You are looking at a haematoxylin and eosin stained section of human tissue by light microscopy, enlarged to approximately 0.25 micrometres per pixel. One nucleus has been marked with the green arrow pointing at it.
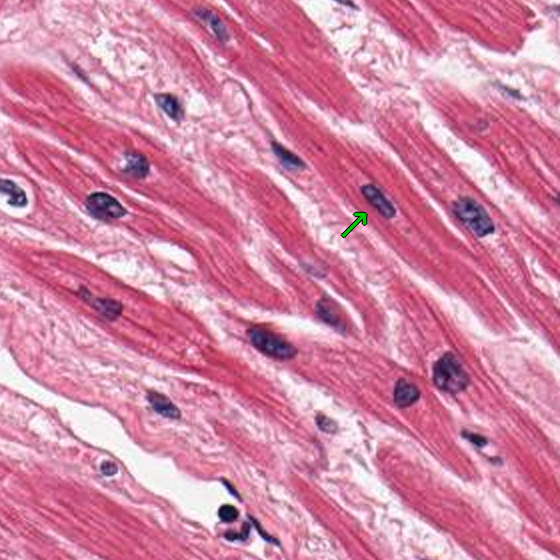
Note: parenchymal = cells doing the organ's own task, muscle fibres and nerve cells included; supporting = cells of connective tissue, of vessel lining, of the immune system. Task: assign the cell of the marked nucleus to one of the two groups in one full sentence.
The cell carrying the marked nucleus is a cardiomyocyte, a parenchymal cell.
